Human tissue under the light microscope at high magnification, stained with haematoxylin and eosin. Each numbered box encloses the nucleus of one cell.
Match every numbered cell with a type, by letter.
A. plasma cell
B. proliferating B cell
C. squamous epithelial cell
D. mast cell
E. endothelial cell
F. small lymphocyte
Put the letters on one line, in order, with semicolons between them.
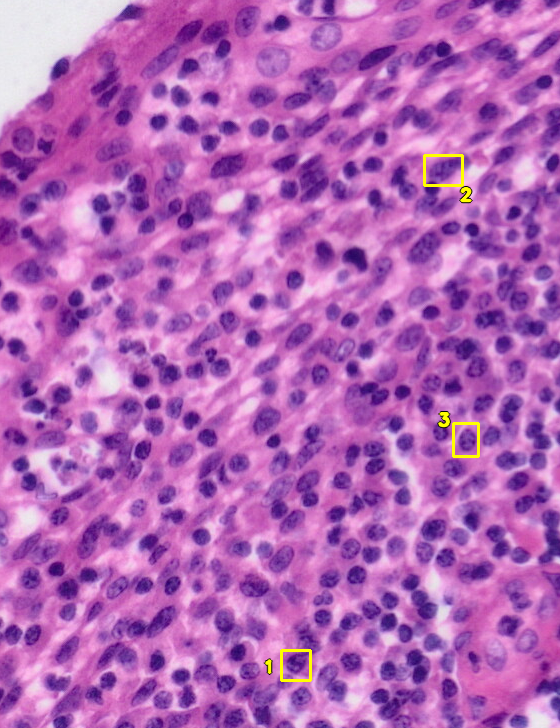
A; C; A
